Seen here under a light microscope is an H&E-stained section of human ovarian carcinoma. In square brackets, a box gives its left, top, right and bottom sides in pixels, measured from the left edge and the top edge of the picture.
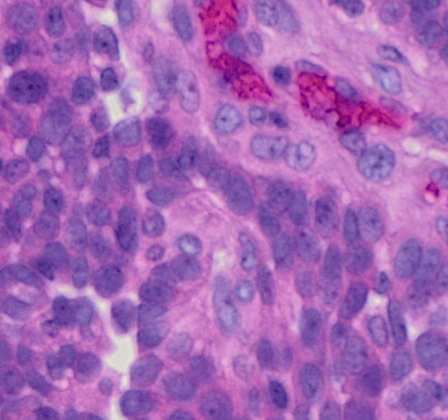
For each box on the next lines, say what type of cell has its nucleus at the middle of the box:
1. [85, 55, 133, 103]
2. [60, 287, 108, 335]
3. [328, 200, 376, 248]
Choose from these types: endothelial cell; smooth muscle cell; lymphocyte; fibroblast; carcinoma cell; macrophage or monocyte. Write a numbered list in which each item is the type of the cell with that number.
1. macrophage or monocyte
2. carcinoma cell
3. carcinoma cell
